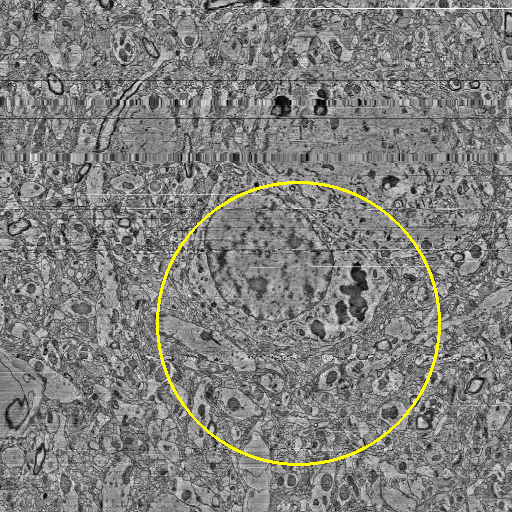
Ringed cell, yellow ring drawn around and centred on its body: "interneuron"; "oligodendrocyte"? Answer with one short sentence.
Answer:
This ringed cell is an interneuron.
